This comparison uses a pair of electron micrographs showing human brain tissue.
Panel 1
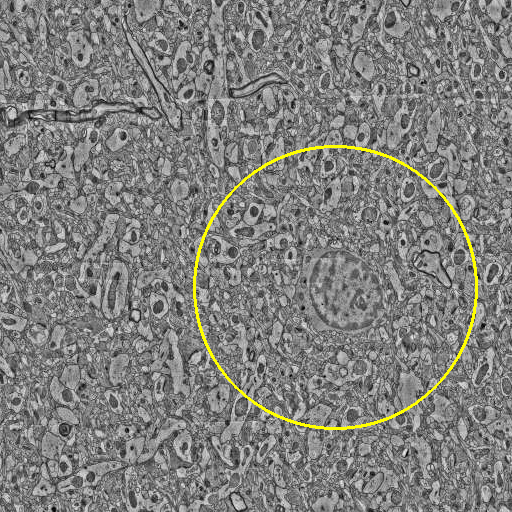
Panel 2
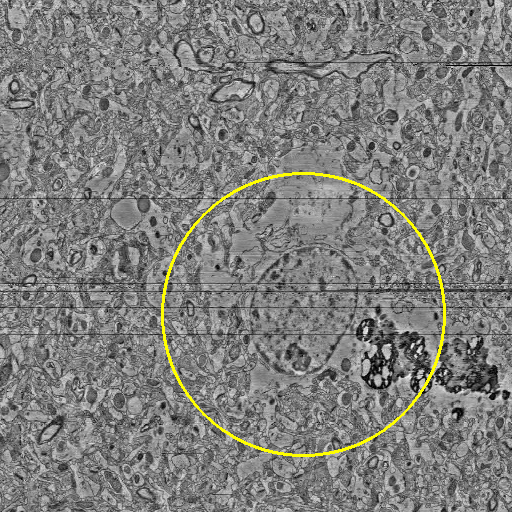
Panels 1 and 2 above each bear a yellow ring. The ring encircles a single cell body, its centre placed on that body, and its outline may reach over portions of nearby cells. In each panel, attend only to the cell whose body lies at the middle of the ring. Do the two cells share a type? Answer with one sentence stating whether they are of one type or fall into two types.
In Panel 1 and Panel 2, the cells at the centres of the rings fall into two types.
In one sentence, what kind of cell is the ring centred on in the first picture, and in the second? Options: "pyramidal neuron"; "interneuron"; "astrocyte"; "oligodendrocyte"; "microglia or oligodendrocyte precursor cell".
The cell at the centre of the second ring is an astrocyte; the first ring's cell is an oligodendrocyte.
